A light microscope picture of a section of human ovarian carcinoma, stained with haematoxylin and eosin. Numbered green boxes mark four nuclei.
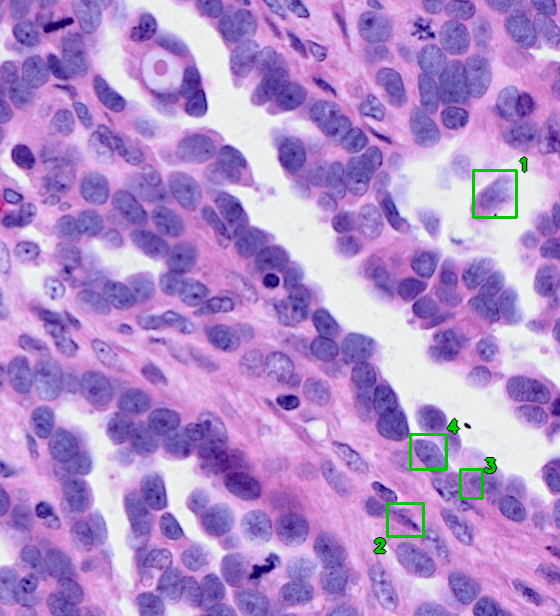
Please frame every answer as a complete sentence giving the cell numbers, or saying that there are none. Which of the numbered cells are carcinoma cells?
By cell type, the cells numbered 1, 3 and 4 are carcinoma cells.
